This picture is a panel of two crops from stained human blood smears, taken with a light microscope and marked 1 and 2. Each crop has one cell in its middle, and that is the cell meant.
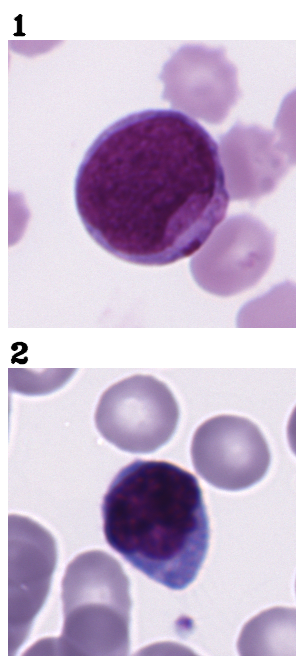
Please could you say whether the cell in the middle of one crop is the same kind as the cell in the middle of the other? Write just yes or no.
no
